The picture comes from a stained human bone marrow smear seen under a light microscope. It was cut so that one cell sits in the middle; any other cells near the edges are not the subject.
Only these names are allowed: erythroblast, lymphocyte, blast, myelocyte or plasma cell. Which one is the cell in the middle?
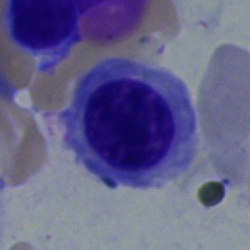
erythroblast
